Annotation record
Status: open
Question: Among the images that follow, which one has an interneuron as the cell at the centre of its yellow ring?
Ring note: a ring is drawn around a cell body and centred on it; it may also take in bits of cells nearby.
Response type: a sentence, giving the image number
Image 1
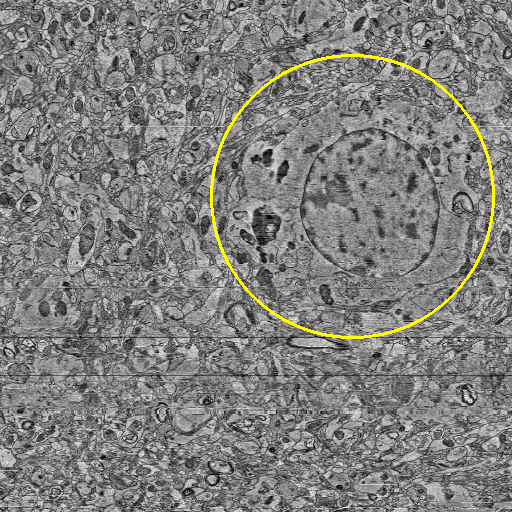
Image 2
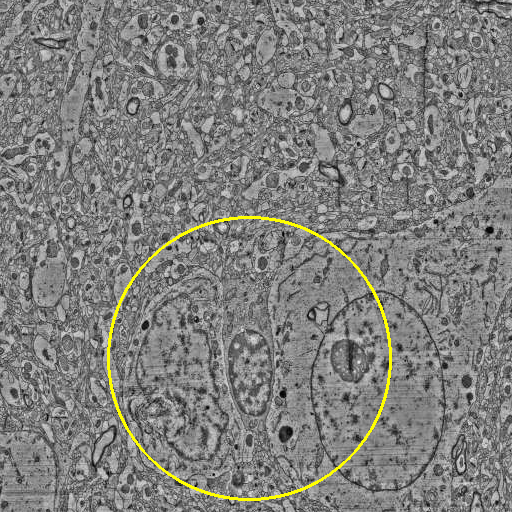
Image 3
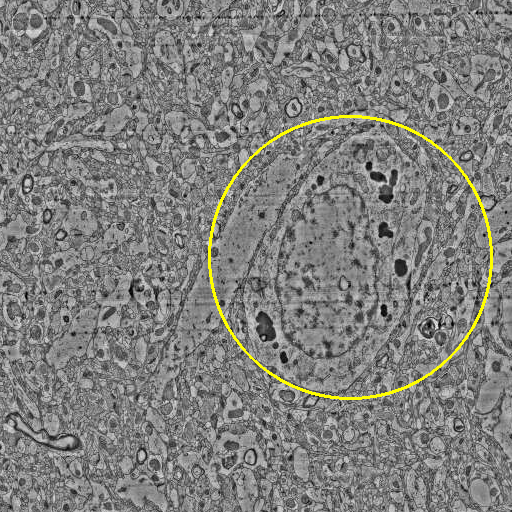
Image 3 shows it at the centre of its ring.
